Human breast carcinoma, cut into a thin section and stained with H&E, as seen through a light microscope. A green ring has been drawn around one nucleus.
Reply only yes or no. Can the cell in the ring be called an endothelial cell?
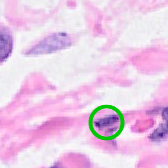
yes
